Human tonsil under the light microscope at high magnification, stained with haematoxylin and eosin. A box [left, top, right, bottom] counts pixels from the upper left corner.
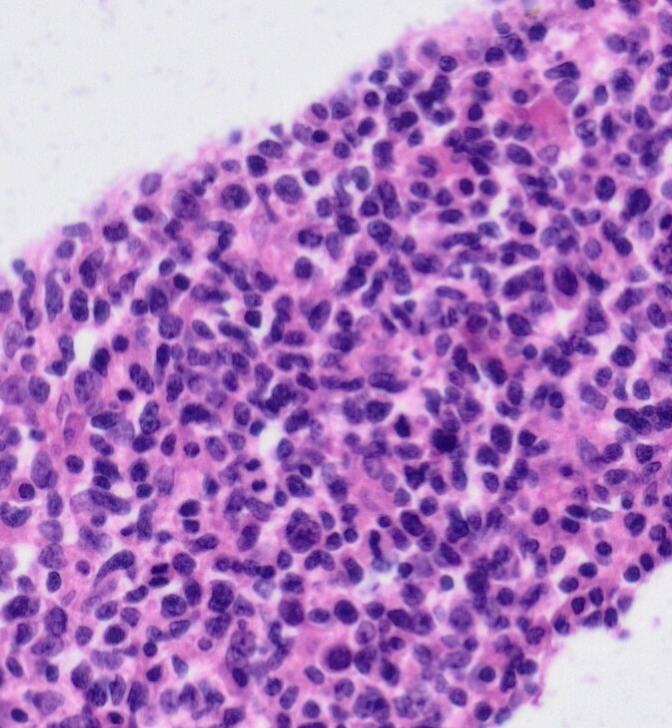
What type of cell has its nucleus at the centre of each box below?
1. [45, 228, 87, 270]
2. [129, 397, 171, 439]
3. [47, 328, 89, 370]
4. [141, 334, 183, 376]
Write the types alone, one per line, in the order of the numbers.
proliferating B cell
proliferating B cell
proliferating B cell
small lymphocyte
